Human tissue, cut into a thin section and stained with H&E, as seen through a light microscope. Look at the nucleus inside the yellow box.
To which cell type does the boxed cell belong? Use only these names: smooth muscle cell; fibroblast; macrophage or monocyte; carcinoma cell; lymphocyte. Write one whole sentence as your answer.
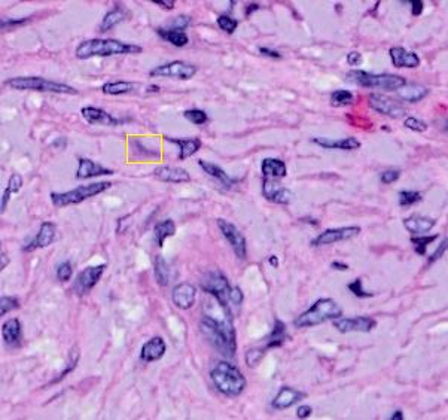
As classified here, the boxed cell is a fibroblast.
